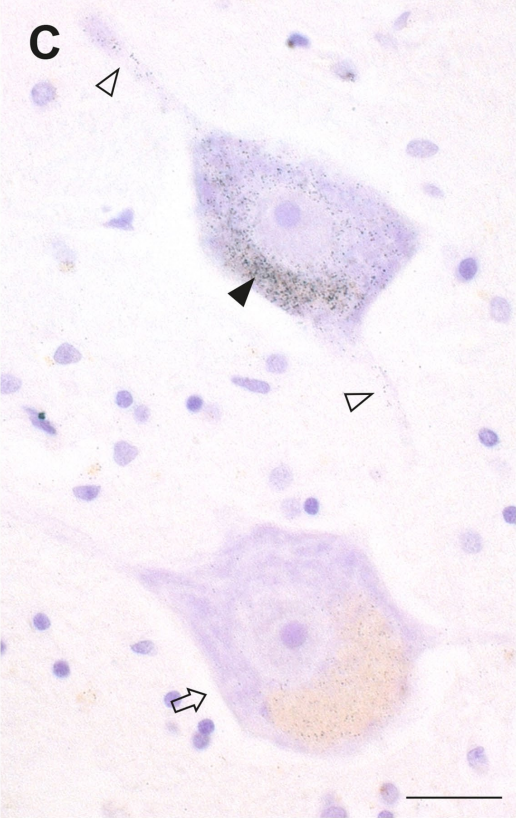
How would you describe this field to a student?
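The upper one, slightly shrunken, has cytoplasm dusted with fine black grains, and faint grains also run along its thin processes. The lower one holds a yellowish pigment patch at one side of its cytoplasm.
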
